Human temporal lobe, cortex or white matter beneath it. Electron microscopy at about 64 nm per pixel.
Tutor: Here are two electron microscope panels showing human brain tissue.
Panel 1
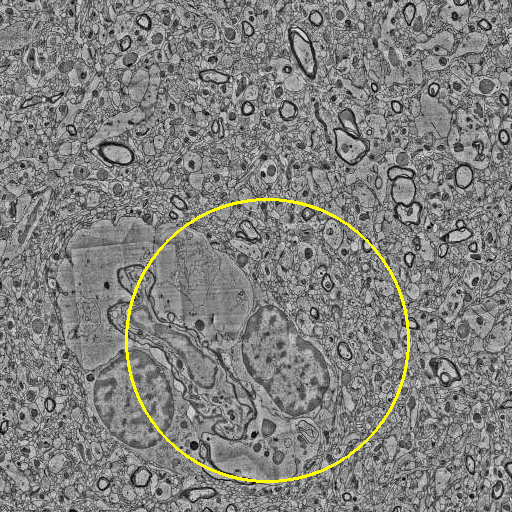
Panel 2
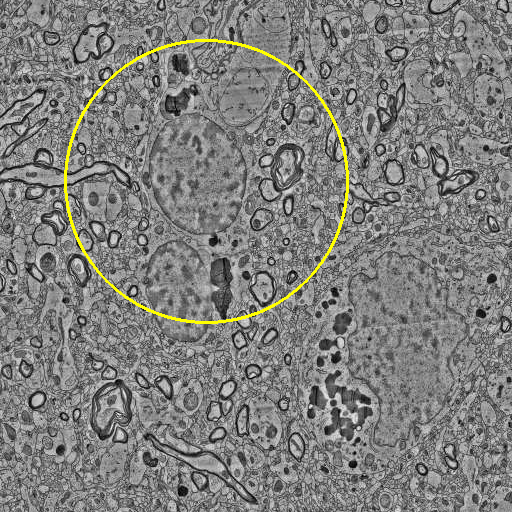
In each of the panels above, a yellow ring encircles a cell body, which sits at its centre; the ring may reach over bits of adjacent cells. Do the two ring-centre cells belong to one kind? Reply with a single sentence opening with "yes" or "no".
No, the two cells sitting at the ring centres in the panels belong to two kinds.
